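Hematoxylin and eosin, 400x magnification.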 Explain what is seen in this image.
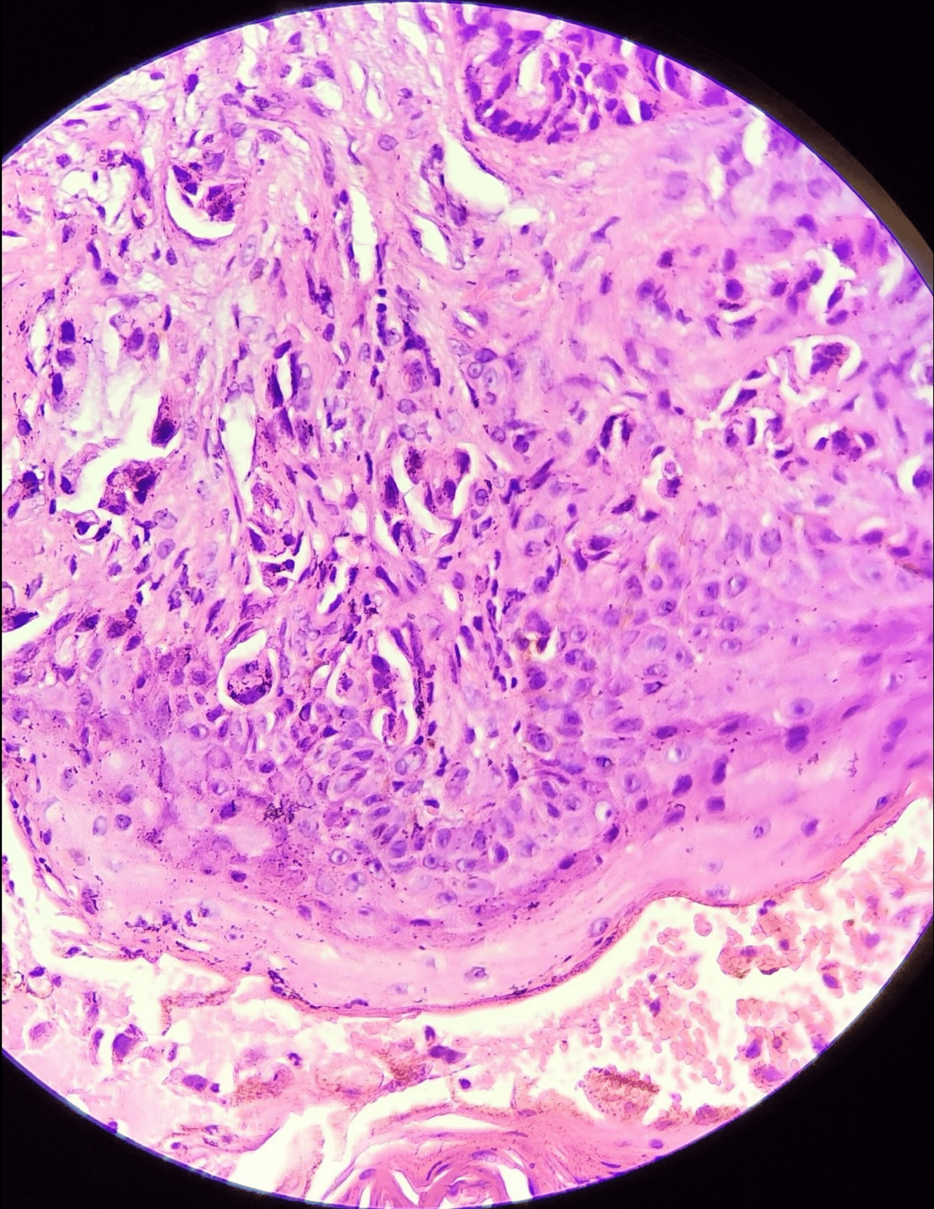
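Subepithelial tissue with malignant cells arranged around small gland-like spaces in a loose pink stroma. The atypical cells have enlarged, dark purple, irregular nuclei and scant cytoplasm, and they line clefts and small lumina in the upper part of the field. Lower down, a band of cells with round pale nuclei and pink cytoplasm sits over dense pink material. Loose red blood cells fill a space at the lower right.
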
